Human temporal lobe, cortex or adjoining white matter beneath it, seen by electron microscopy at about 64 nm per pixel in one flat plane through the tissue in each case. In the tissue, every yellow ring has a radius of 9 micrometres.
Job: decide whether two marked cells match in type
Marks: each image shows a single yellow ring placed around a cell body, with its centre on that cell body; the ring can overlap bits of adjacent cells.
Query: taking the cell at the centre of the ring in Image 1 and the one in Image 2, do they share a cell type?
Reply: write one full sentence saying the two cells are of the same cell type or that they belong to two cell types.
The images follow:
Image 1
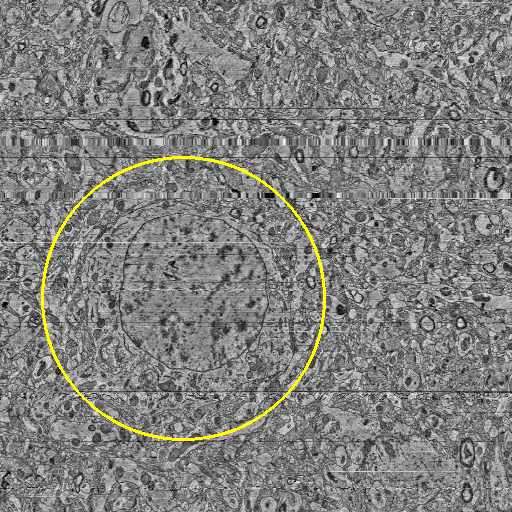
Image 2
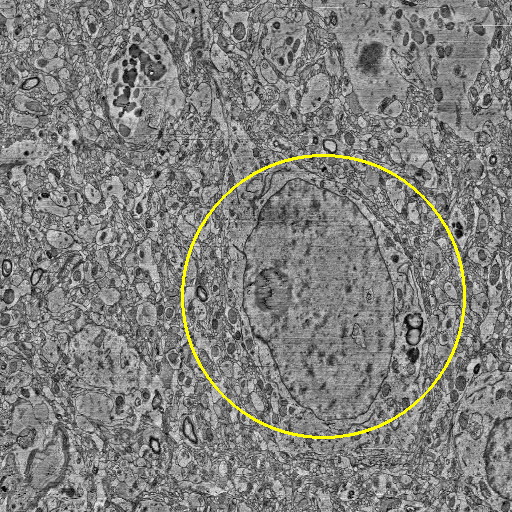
The cells at the ring centres in Image 1 and Image 2 are of the same cell type.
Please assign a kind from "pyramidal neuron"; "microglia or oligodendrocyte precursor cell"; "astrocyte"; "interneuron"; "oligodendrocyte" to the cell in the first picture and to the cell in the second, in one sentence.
Each of the ringed cells, first and second, is a pyramidal neuron.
